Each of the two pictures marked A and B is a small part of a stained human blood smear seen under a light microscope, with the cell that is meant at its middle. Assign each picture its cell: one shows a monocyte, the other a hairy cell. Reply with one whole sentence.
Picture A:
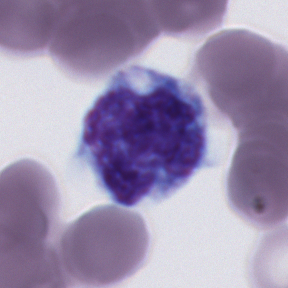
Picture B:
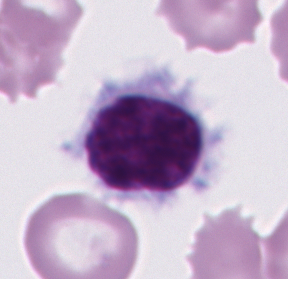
Picture A is of a monocyte, and picture B is of a hairy cell.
